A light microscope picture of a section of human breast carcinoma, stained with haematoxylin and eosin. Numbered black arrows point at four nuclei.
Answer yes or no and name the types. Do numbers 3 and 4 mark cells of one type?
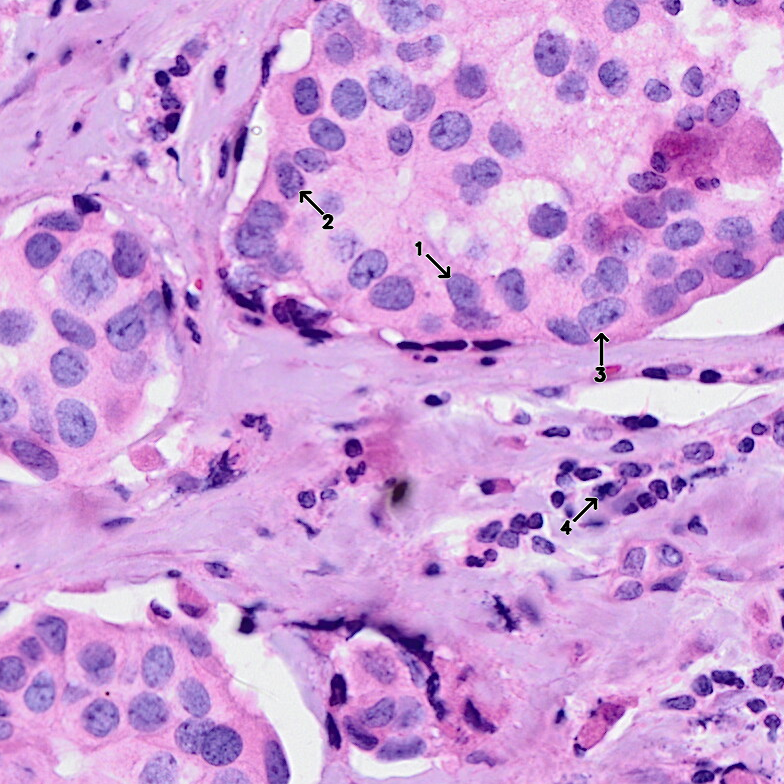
No, cell 3 is a carcinoma cell, and cell 4 is, by contrast, a lymphocyte.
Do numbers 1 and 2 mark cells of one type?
Yes, cells 1 and 2 are both termed carcinoma cells.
